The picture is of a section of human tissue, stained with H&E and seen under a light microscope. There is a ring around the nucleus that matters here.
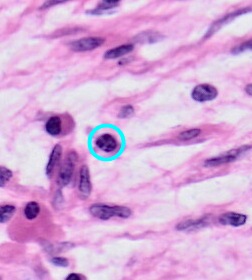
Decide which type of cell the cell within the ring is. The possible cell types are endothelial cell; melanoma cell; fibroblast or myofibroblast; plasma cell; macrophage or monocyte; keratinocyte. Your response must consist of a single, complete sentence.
On this particular slide, the cell within the ring is a plasma cell.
